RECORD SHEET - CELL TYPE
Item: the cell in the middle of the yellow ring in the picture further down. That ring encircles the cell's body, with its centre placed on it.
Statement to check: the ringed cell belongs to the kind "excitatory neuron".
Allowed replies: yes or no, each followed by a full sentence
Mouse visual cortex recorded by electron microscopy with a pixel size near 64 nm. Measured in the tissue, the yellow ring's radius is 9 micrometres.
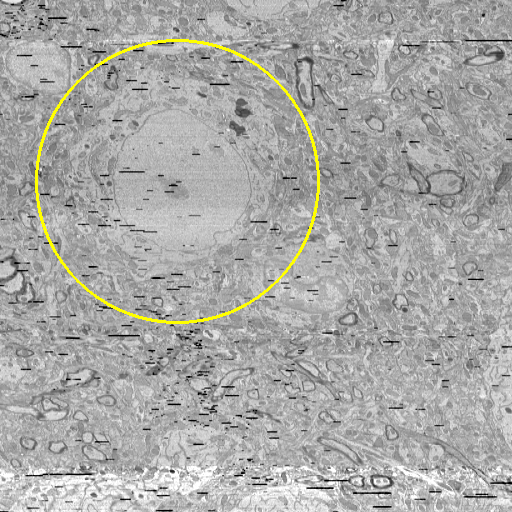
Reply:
Yes, the cell held at the centre of the ring in the picture is of that kind.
